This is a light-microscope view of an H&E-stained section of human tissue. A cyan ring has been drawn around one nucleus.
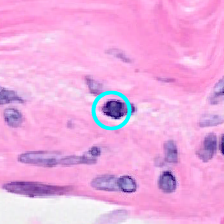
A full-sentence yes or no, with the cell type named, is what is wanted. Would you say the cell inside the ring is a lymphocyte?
Yes, the cell inside the ring is recognized as a lymphocyte in this section.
